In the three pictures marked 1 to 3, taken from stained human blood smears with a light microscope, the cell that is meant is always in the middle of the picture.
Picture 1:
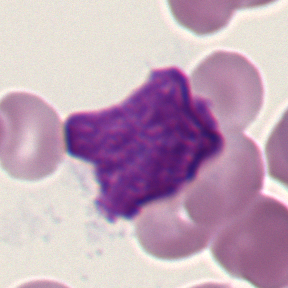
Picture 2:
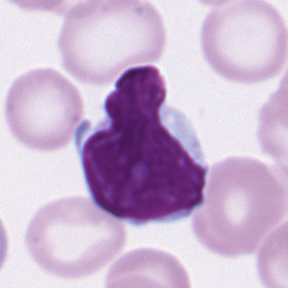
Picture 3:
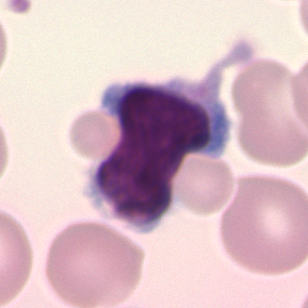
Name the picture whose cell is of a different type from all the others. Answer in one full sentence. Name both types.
Picture 1 differs, because its cell is a smudge cell and the rest are typical lymphocytes.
